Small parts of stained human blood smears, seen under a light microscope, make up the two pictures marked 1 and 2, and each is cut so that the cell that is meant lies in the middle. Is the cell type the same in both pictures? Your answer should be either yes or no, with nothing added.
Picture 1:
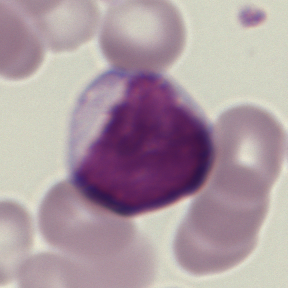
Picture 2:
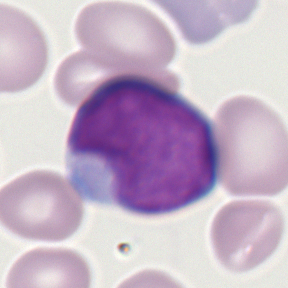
no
